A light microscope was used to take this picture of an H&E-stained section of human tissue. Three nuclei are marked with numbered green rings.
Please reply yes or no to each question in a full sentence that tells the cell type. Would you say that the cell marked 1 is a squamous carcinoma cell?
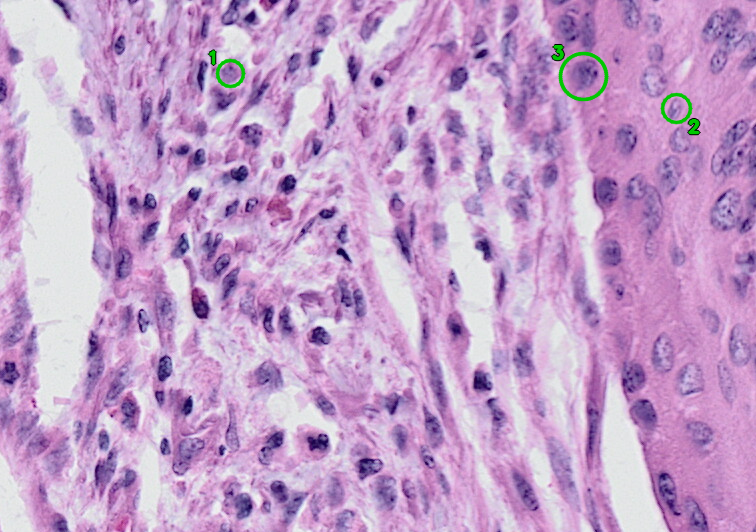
No, the cell bearing the number 1 is a fibroblast, not a squamous carcinoma cell.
